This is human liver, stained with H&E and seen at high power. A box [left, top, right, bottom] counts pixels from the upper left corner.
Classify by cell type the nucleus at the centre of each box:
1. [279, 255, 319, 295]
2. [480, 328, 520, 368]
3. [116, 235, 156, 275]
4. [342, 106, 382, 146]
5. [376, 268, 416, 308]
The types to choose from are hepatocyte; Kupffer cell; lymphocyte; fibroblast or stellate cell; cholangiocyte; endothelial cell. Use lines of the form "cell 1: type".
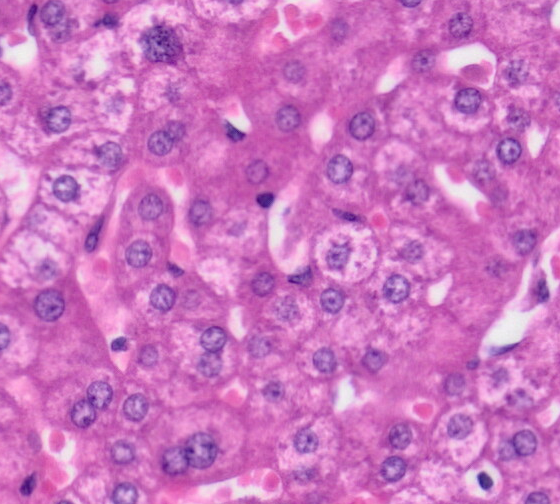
cell 1: endothelial cell
cell 2: endothelial cell
cell 3: hepatocyte
cell 4: hepatocyte
cell 5: hepatocyte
